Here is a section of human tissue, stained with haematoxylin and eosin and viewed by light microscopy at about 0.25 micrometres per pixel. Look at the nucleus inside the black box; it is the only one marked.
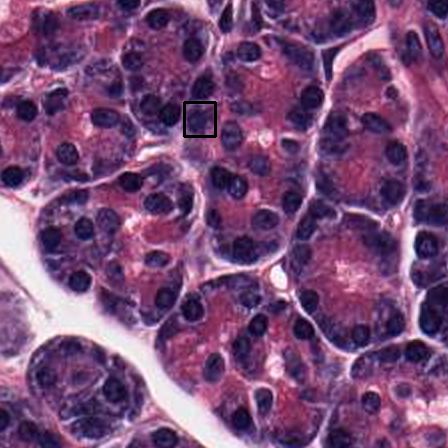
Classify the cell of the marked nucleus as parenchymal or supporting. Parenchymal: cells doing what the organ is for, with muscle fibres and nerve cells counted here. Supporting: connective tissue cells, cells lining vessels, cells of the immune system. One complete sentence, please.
The marked nucleus is that of a pancreatic acinar cell, which is a parenchymal cell.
